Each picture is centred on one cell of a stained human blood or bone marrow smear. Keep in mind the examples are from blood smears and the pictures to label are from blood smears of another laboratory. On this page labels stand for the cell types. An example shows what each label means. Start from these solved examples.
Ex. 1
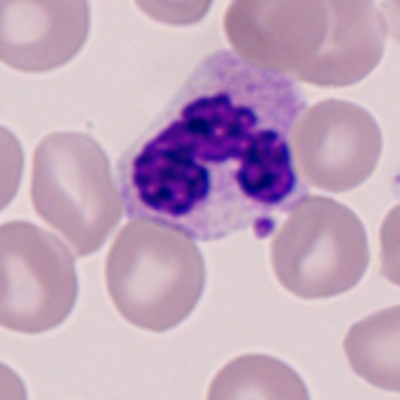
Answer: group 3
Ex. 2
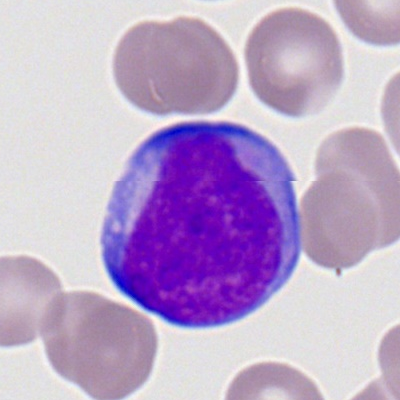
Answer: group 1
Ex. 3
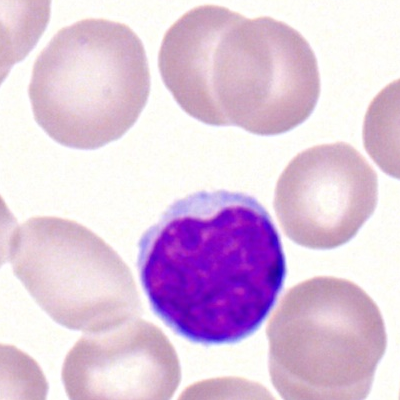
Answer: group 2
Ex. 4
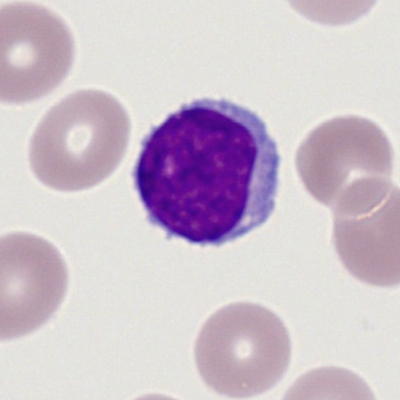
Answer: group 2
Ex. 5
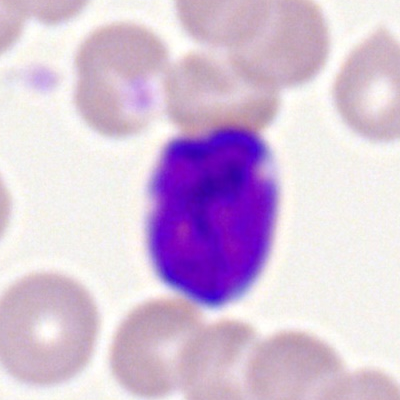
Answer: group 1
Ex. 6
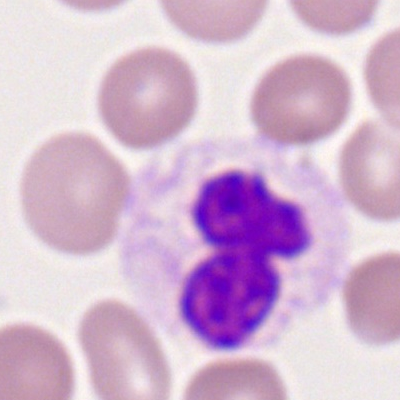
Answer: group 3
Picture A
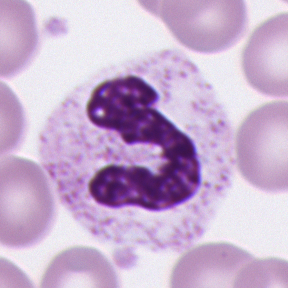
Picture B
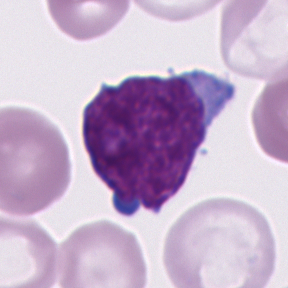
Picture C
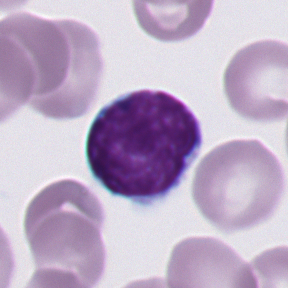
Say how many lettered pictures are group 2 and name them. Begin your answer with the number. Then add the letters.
Count: 1 (C)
